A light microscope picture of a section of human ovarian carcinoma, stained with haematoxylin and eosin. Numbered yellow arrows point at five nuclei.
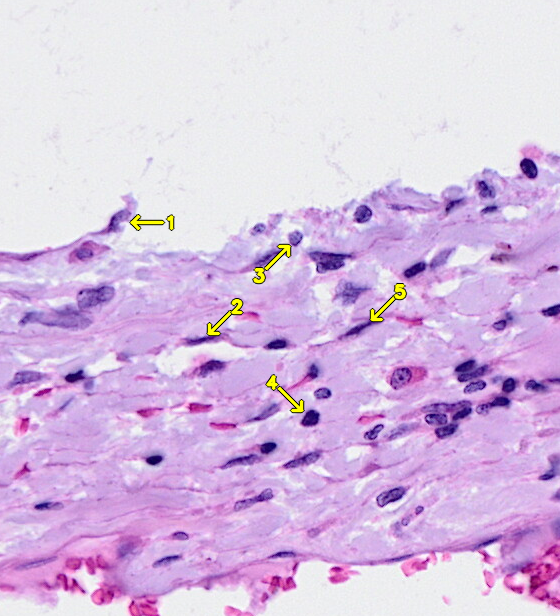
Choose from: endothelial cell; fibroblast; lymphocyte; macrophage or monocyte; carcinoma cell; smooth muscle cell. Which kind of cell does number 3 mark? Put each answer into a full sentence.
Cell 3 should be recorded as a lymphocyte.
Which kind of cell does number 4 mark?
To a lymphocyte belongs the nucleus marked 4.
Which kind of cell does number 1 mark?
The identity of cell 1 is that of an endothelial cell.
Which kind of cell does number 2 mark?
The cell marked with number 2 is a fibroblast.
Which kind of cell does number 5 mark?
Cell 5 in the field of view is a fibroblast.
